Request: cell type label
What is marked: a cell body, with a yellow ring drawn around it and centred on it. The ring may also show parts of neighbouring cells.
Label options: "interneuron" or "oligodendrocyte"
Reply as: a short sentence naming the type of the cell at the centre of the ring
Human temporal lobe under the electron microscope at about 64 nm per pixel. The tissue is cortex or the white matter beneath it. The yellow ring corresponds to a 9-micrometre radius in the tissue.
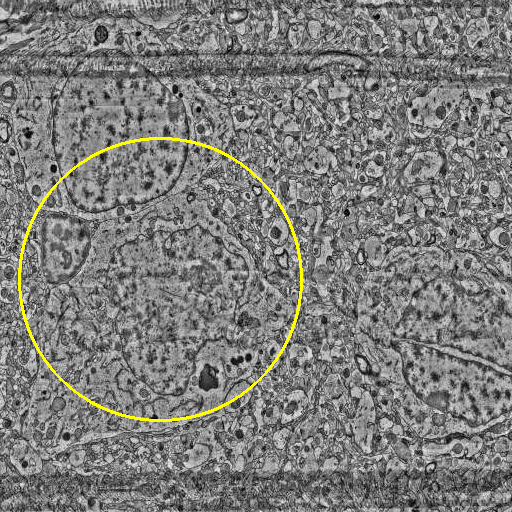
The marked cell body is that of an interneuron.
